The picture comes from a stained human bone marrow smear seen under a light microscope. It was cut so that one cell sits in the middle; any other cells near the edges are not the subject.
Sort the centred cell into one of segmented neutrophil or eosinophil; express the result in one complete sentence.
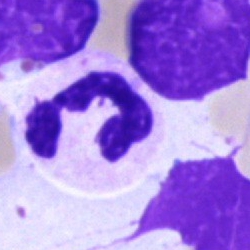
Here the centrally located cell is a segmented neutrophil.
